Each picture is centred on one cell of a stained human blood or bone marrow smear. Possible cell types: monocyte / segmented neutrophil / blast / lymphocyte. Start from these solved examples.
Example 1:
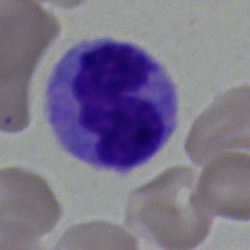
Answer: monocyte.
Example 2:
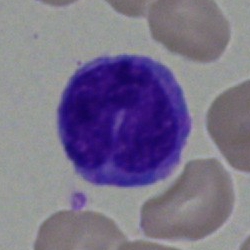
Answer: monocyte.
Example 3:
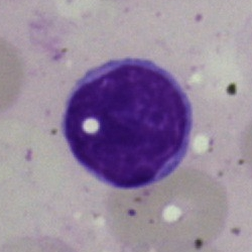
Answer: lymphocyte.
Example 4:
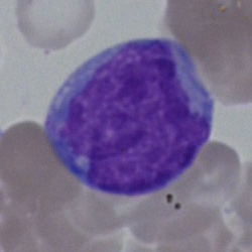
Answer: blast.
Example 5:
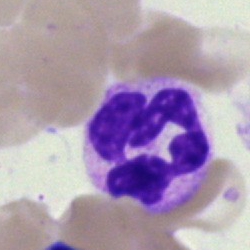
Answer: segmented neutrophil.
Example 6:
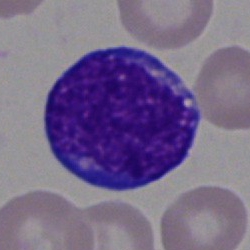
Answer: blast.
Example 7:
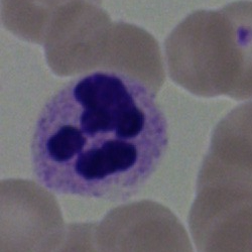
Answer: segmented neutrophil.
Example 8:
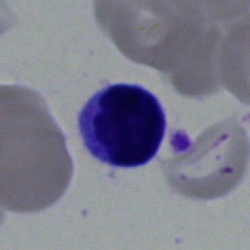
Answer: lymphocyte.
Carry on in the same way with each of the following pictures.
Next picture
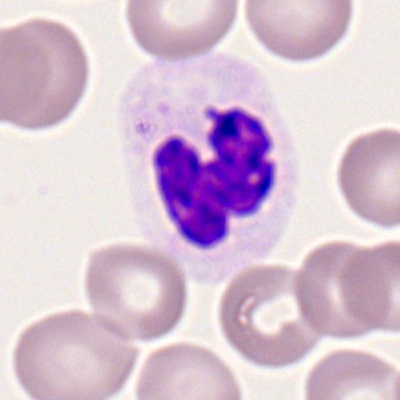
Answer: segmented neutrophil.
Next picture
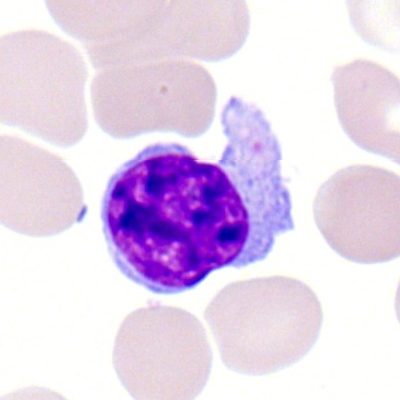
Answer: lymphocyte.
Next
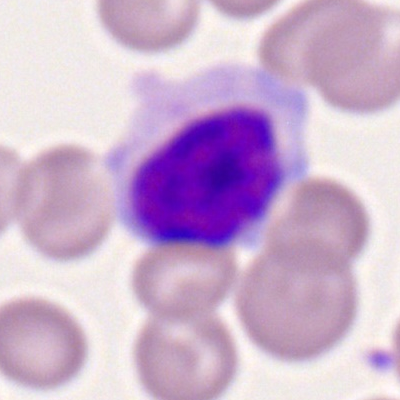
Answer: lymphocyte.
